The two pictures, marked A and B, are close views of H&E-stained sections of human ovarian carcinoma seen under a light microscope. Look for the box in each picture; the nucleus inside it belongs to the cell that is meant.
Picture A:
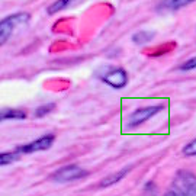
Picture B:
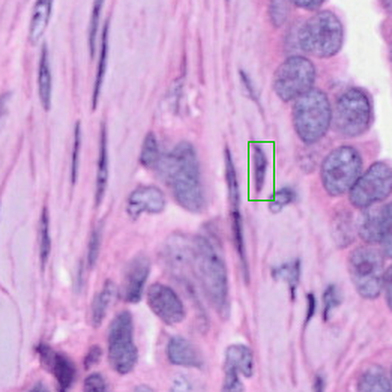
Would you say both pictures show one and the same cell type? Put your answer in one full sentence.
Yes, both are fibroblasts.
